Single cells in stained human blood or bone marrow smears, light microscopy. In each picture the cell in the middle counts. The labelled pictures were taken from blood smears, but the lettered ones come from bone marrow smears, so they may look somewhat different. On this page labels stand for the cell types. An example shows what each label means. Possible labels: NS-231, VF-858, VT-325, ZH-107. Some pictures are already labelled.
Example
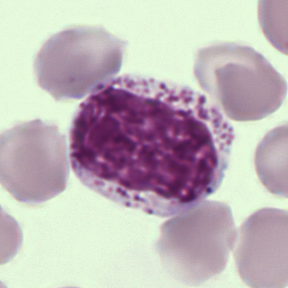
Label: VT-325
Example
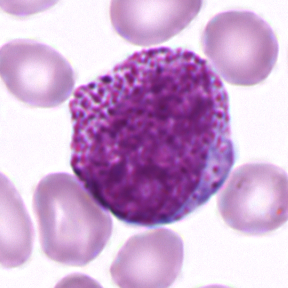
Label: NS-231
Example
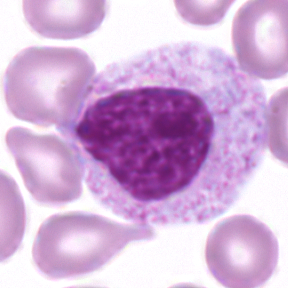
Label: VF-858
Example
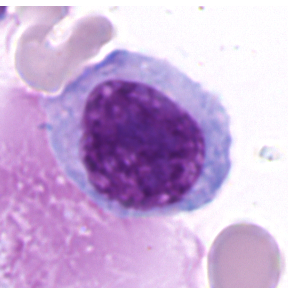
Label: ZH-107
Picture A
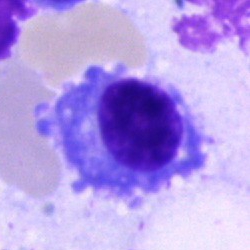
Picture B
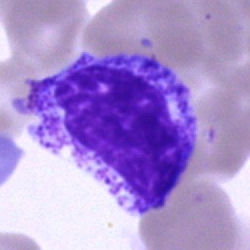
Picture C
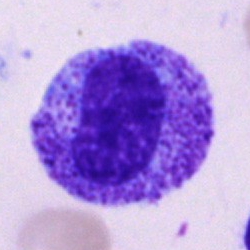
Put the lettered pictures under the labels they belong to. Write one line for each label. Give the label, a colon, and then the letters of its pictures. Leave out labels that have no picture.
NS-231: C
VF-858: B
ZH-107: A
